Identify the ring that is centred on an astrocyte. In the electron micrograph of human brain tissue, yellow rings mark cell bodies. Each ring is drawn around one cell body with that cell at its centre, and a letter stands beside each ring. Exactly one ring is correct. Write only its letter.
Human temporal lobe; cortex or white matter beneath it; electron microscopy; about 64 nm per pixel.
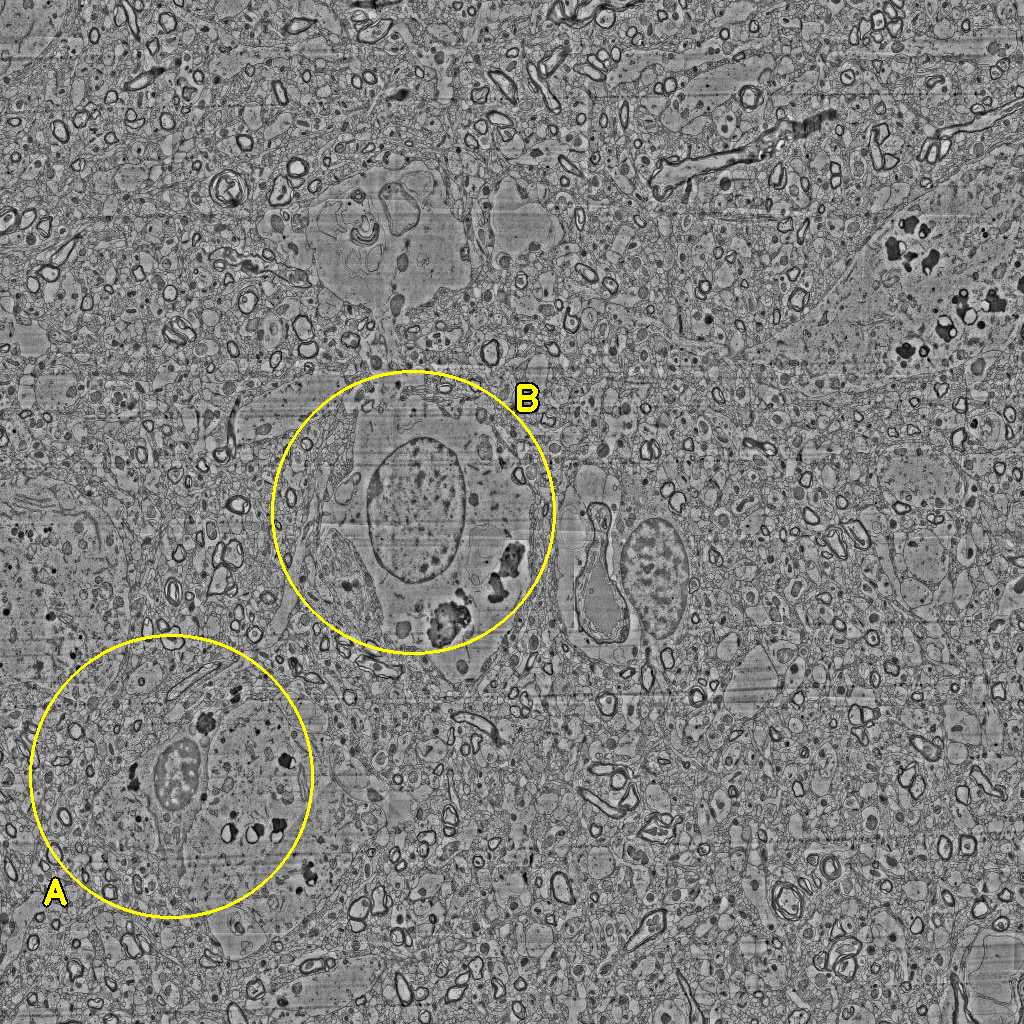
B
